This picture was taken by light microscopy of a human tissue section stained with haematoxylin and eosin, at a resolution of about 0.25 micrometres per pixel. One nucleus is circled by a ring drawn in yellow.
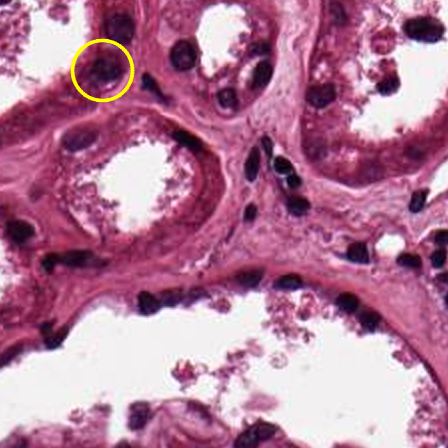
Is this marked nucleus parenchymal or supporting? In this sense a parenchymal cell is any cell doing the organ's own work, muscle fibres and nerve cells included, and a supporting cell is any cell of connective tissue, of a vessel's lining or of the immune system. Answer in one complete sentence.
A parenchymal cell holds the marked nucleus, and that cell is a proximal tubule cell.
